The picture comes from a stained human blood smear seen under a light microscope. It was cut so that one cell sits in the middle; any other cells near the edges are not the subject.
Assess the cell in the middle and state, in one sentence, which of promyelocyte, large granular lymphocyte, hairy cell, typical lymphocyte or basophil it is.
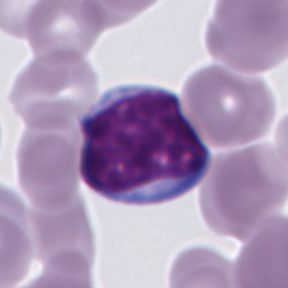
Occupying the centre of the crop is a typical lymphocyte.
